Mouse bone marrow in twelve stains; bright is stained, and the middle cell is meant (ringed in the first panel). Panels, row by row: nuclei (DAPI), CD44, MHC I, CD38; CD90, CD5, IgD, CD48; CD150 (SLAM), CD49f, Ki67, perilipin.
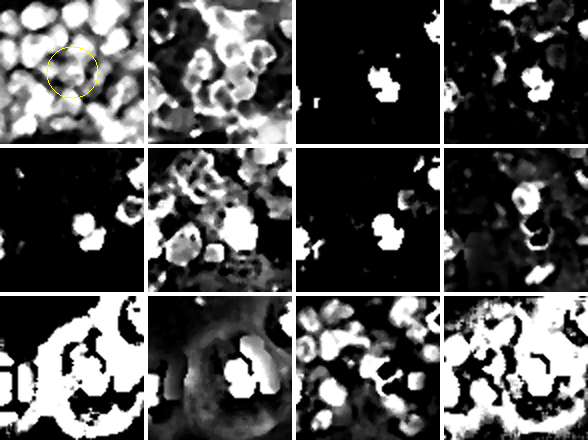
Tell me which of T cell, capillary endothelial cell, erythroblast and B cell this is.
The picture shows a B cell.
